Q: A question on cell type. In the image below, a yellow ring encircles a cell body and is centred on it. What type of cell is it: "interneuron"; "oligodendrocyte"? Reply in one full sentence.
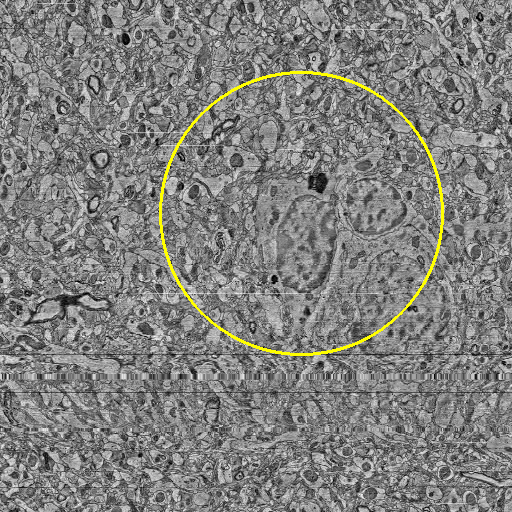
It is an oligodendrocyte whose cell body sits at the centre of the yellow ring in the image.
